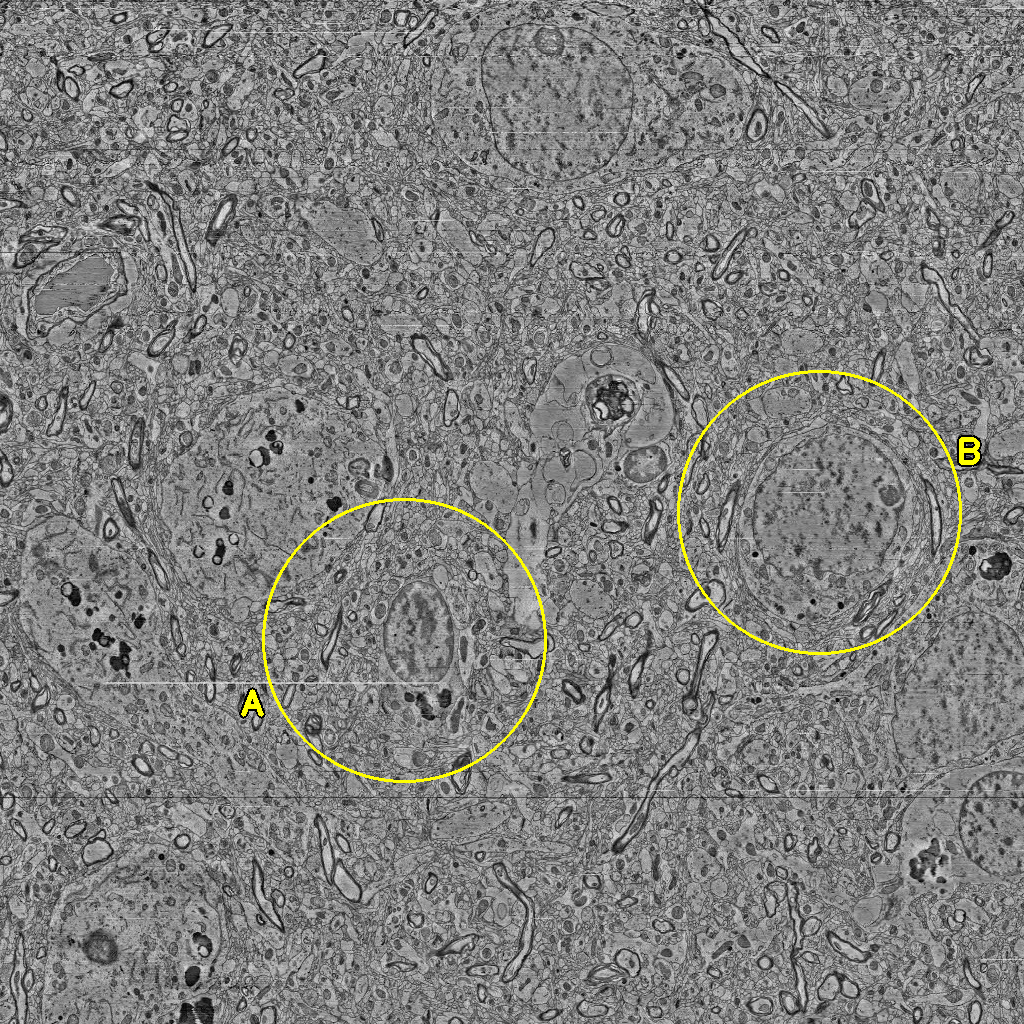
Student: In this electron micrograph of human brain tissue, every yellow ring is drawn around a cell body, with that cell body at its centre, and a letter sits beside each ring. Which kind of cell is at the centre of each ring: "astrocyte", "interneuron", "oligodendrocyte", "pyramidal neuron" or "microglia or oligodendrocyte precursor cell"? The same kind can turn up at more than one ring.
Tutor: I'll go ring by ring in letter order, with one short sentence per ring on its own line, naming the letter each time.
Ring A: the cell at its centre is an oligodendrocyte.
Ring B: the cell at its centre is a pyramidal neuron.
